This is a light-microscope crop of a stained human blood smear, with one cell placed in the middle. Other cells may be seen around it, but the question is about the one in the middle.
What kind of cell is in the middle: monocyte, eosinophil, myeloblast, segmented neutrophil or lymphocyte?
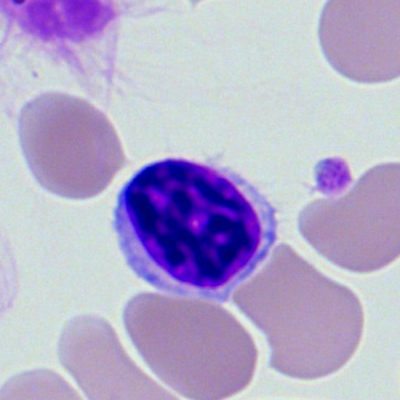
lymphocyte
